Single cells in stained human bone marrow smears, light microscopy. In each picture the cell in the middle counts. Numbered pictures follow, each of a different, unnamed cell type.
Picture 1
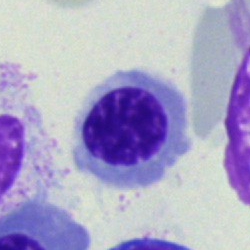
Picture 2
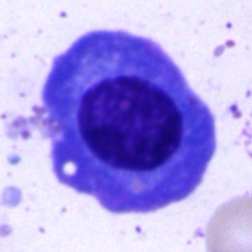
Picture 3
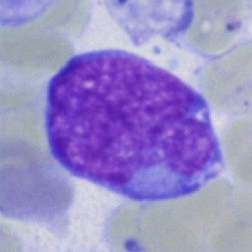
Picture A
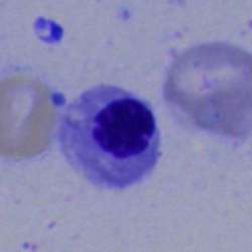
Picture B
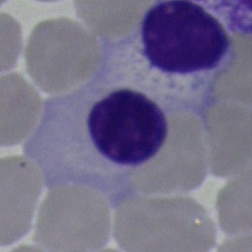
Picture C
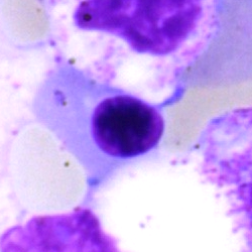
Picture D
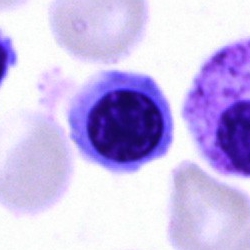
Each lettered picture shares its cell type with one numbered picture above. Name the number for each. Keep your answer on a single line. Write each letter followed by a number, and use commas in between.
A 1, B 1, C 1, D 1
